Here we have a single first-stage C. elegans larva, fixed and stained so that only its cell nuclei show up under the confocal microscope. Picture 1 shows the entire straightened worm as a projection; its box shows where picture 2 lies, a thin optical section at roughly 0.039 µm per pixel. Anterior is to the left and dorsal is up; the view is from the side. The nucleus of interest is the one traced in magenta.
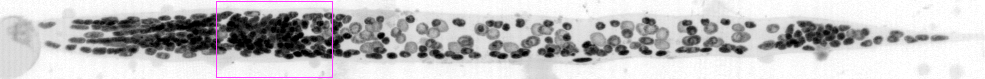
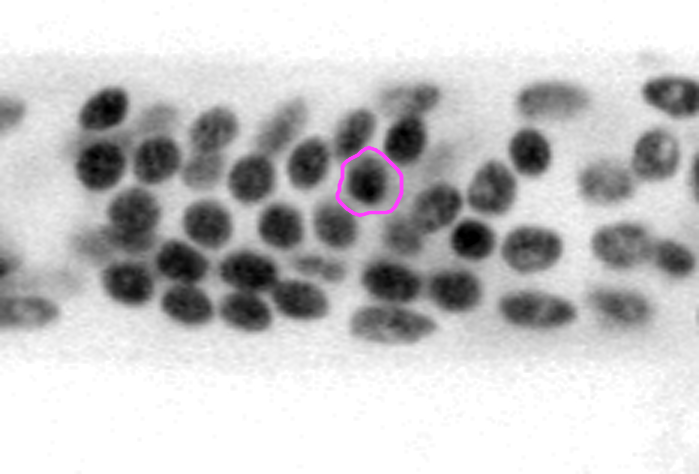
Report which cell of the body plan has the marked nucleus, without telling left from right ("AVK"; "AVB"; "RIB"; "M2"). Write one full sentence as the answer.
It is the nucleus of AVB, a neuron.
